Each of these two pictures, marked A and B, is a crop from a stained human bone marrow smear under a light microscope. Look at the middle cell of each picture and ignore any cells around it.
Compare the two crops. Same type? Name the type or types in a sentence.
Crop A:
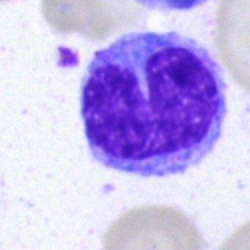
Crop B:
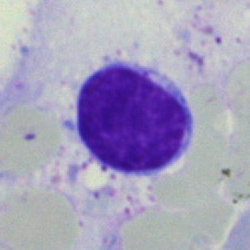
No, the labels go like this: crop A is a monocyte and crop B is a lymphocyte.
